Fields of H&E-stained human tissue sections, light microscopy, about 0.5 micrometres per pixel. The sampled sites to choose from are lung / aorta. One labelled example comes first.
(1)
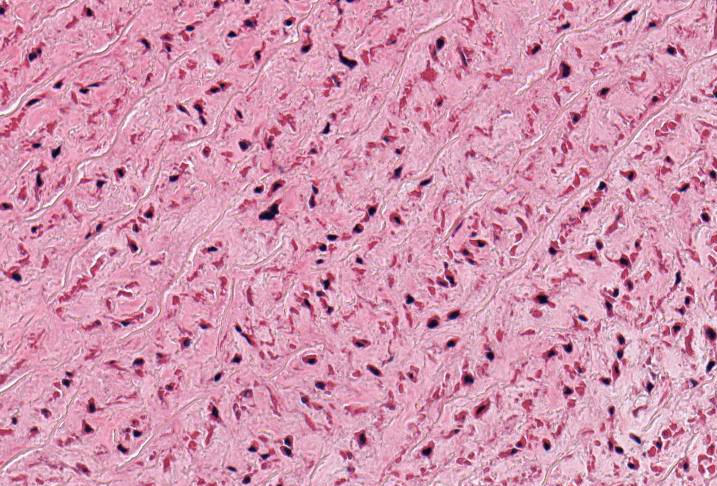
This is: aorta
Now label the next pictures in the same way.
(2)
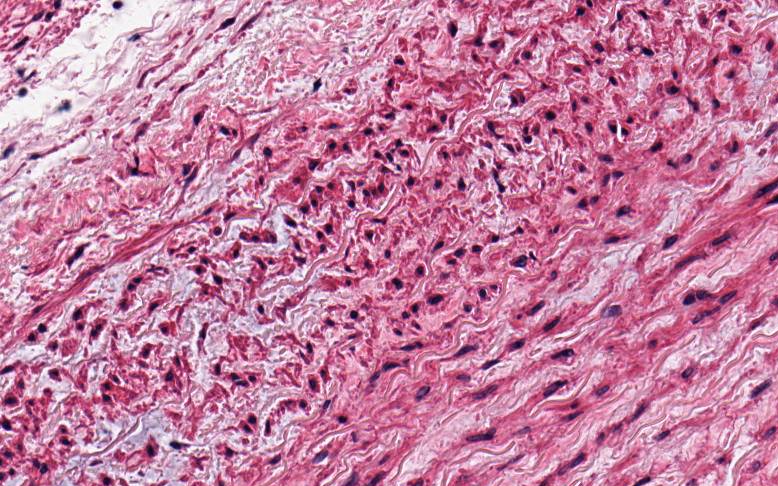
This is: aorta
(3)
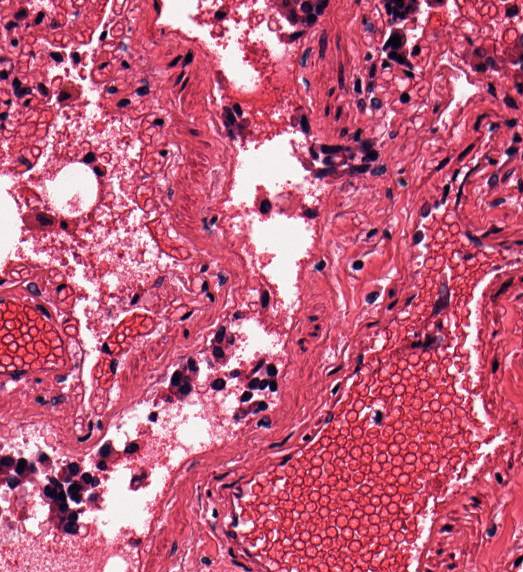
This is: lung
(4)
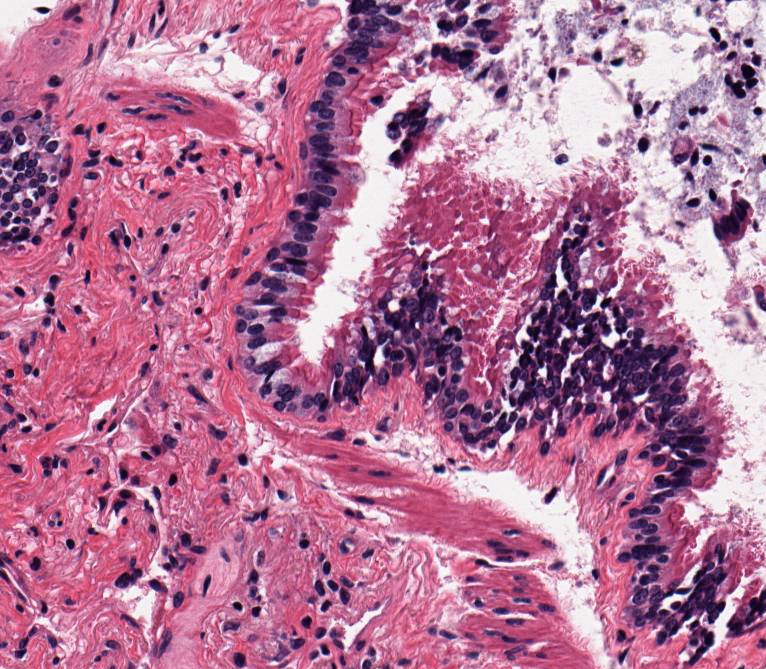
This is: lung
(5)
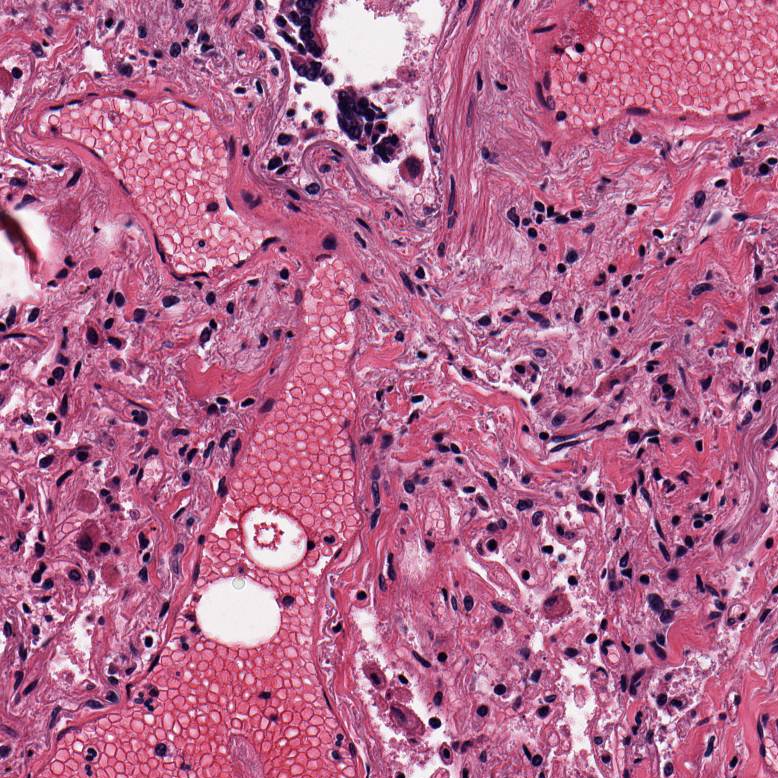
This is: lung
